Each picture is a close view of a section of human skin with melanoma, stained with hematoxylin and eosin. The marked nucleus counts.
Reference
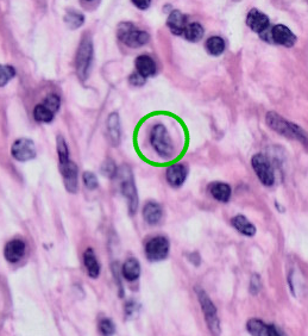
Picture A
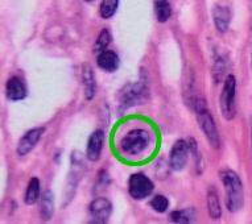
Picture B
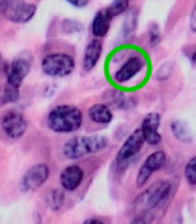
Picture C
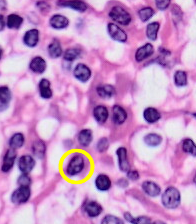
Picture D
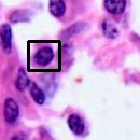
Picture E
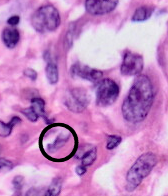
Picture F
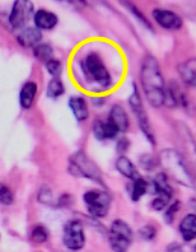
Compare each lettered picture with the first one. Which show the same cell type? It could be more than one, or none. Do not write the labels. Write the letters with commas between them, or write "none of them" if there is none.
A, B, C, D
